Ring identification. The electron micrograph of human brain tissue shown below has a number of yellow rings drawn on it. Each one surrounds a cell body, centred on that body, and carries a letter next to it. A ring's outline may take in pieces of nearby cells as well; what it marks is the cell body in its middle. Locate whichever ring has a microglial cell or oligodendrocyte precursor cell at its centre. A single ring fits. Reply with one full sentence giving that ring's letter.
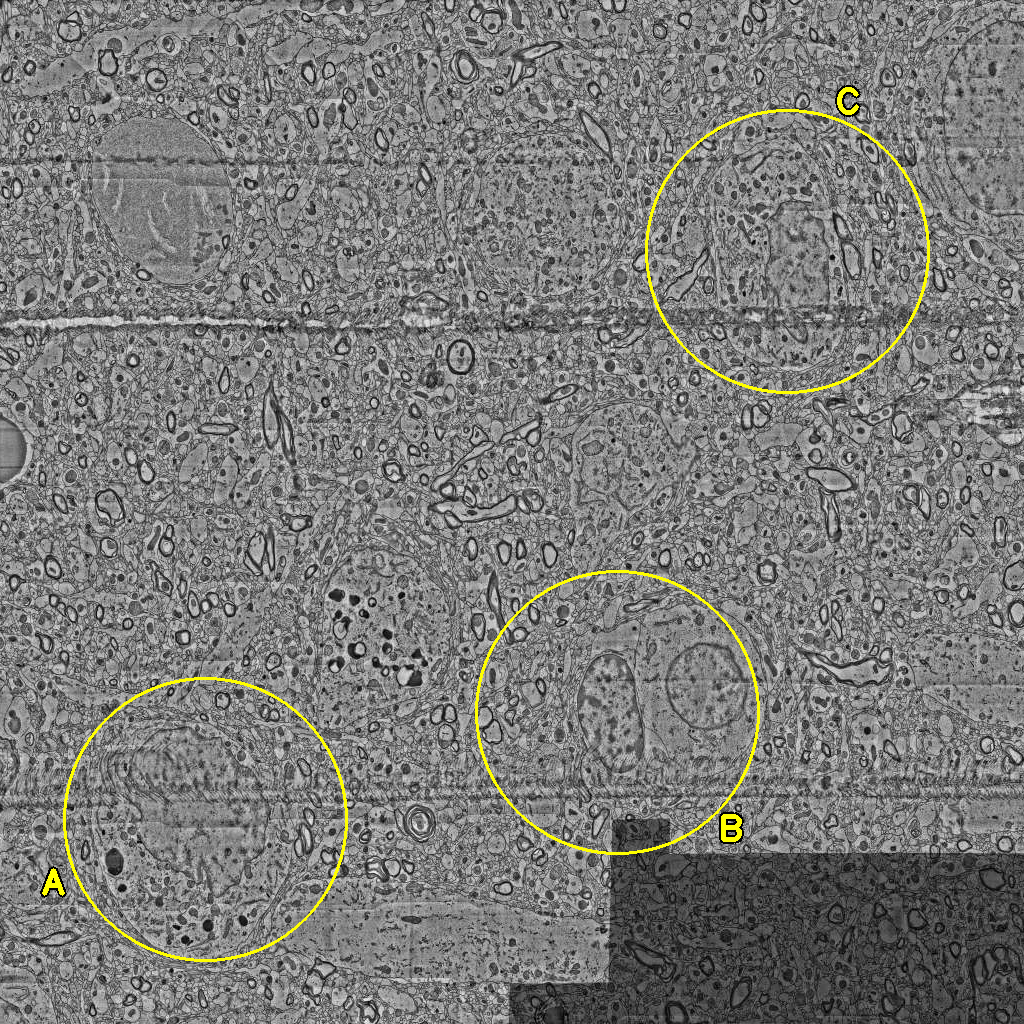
The letter B belongs to the ring centred on a cell of that kind.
